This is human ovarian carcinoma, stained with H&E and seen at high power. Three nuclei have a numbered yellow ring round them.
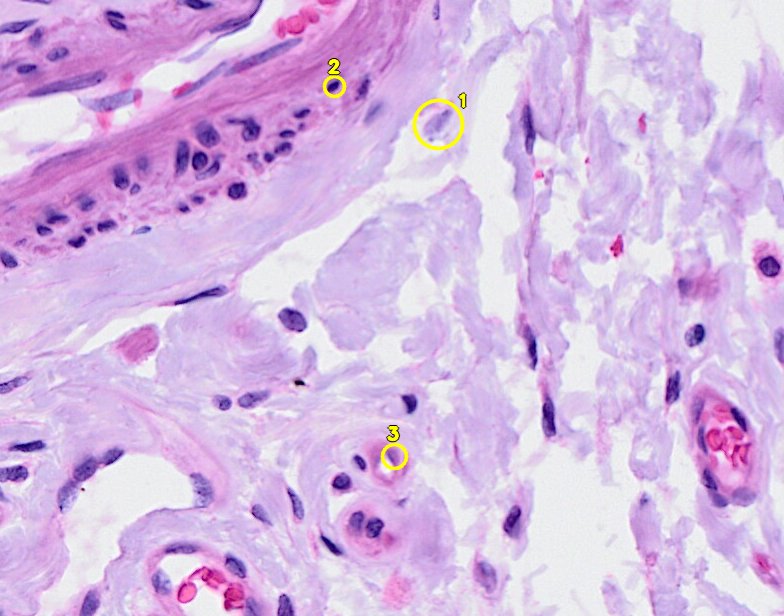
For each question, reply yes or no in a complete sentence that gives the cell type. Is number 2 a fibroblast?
No, a smooth muscle cell, not a fibroblast, is the cell with number 2.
